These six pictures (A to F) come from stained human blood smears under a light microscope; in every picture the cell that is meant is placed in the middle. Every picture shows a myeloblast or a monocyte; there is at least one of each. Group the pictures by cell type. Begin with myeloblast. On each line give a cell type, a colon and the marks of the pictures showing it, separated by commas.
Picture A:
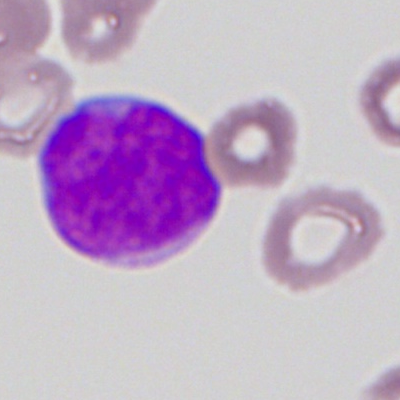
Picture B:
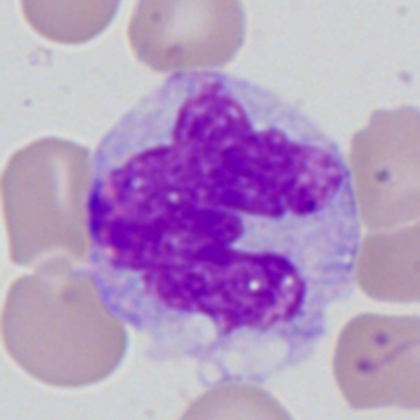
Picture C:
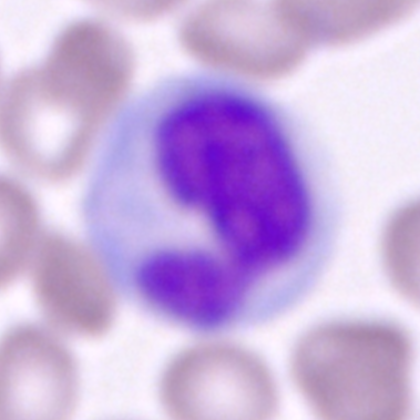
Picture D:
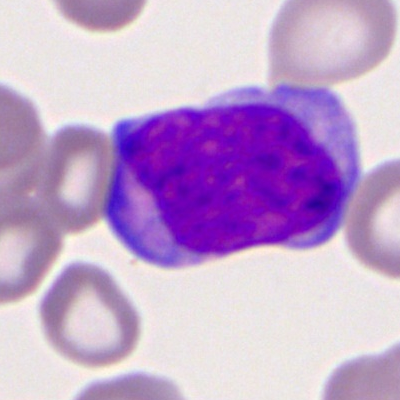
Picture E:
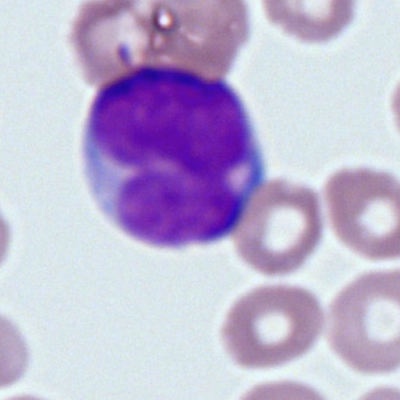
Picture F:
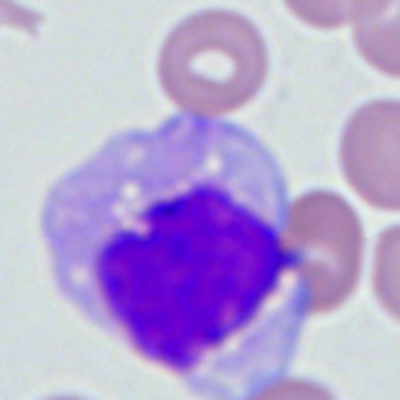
myeloblast: A, D, E
monocyte: B, C, F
